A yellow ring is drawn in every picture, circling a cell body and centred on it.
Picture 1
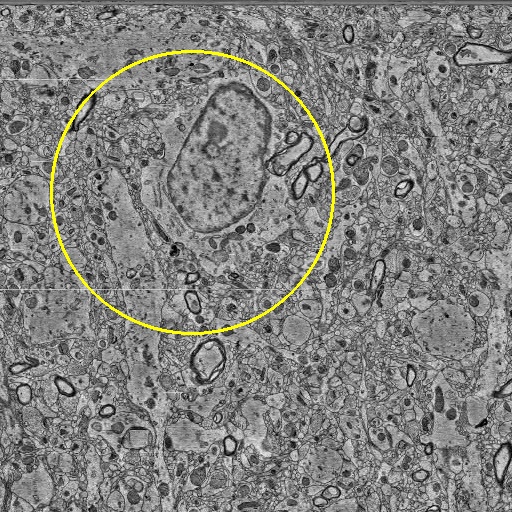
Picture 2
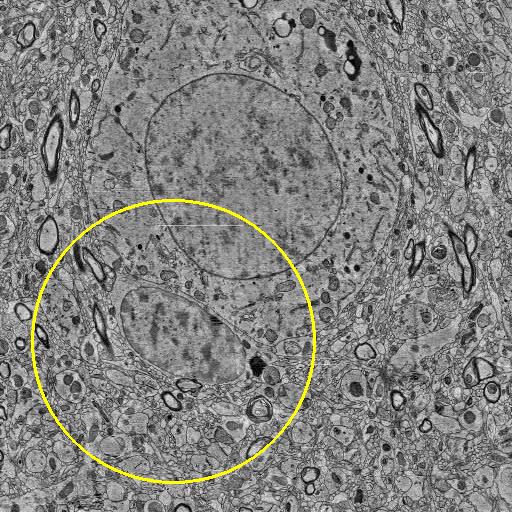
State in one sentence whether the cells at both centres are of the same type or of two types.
The cells at the two ring centres, one per picture, are of two types.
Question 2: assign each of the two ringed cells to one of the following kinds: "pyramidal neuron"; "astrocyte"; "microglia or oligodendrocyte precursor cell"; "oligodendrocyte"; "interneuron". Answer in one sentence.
The two cells are a microglial cell or oligodendrocyte precursor cell in the first picture and an oligodendrocyte in the second.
